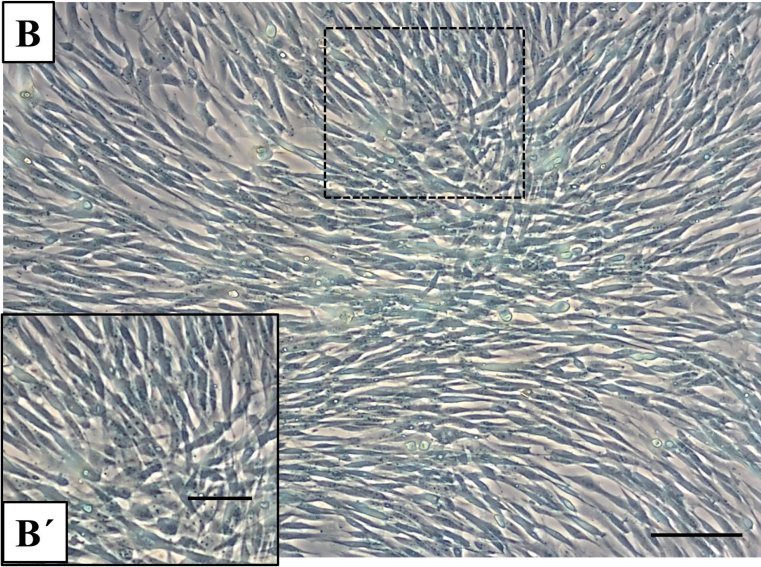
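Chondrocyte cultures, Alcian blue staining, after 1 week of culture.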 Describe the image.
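Cells align in parallel streams that swirl across the field. The cells and the material between them carry a distinct blue-green tint. A few small rounded refractile bodies lie scattered over the layer.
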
